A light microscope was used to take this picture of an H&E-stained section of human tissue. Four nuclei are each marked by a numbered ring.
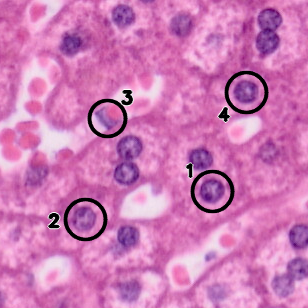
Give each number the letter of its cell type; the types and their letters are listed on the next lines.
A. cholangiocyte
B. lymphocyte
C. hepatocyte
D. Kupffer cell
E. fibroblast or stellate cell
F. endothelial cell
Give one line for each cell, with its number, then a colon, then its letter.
1: C
2: C
3: F
4: C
